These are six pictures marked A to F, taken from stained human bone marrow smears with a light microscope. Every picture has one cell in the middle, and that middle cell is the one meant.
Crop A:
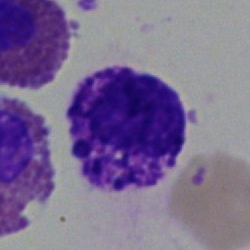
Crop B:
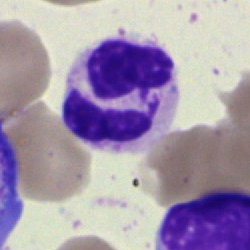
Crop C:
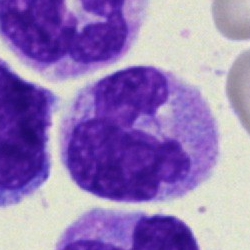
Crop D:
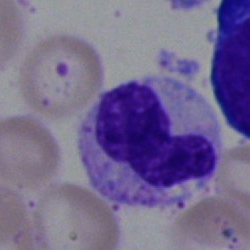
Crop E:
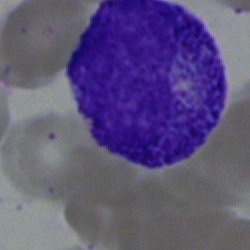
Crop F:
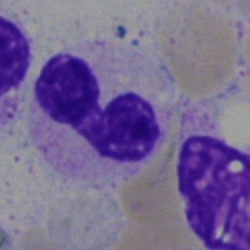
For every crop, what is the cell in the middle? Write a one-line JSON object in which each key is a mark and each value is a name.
{"A": "basophil", "B": "segmented neutrophil", "C": "monocyte", "D": "metamyelocyte", "E": "myelocyte", "F": "segmented neutrophil"}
